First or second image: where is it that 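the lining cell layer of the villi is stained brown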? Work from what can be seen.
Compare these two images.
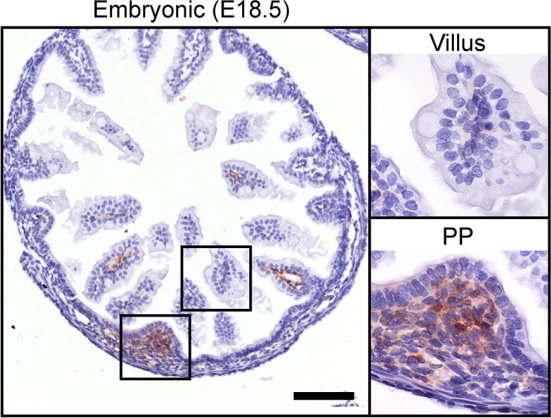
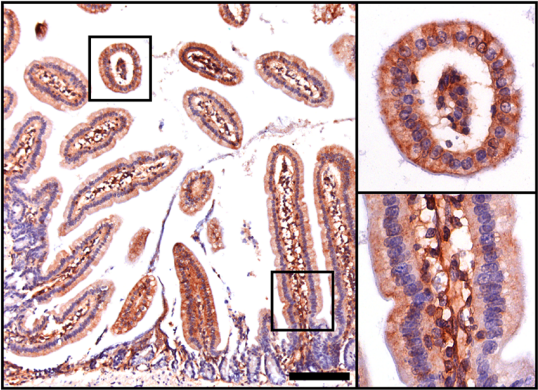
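The second image. Second image: the columnar cells lining the villi have brown cytoplasm.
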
